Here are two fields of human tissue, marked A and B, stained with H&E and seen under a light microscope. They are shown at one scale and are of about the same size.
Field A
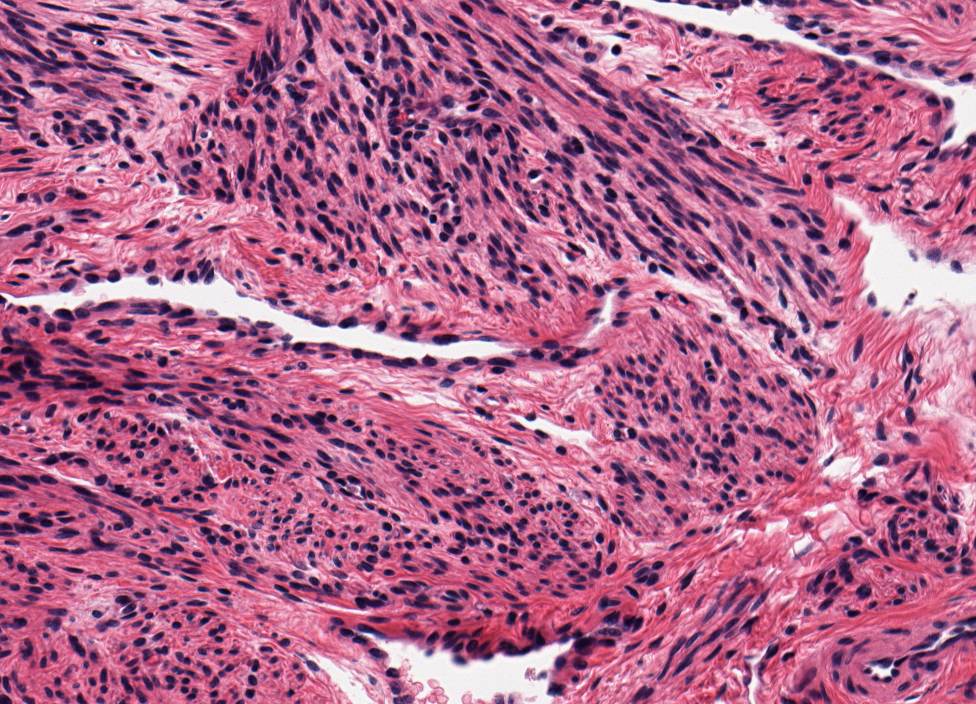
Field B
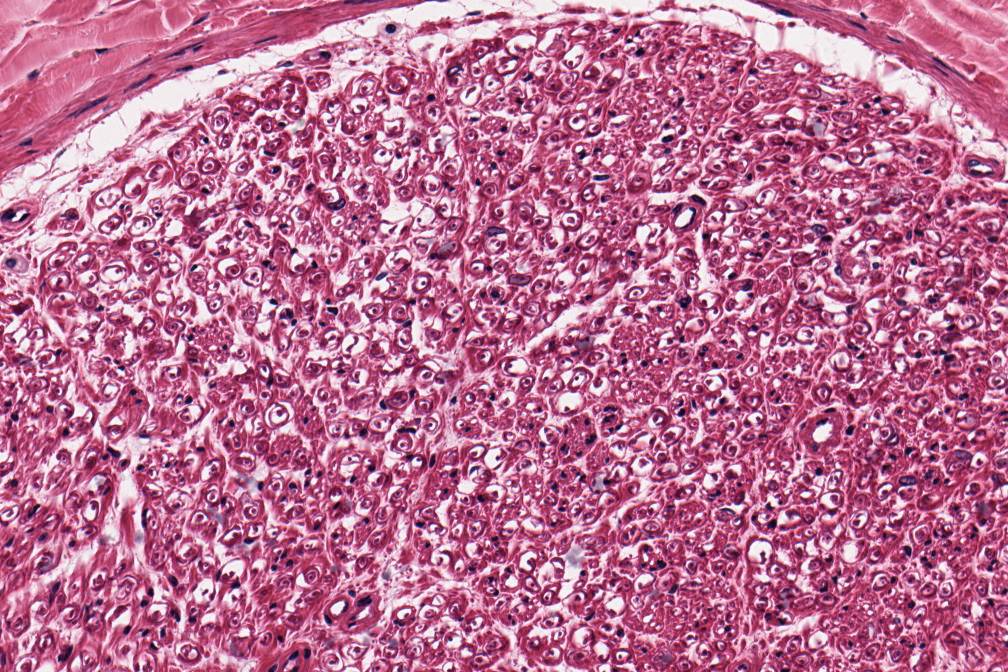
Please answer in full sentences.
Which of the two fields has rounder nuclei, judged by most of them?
The nuclei are rounder in field B.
